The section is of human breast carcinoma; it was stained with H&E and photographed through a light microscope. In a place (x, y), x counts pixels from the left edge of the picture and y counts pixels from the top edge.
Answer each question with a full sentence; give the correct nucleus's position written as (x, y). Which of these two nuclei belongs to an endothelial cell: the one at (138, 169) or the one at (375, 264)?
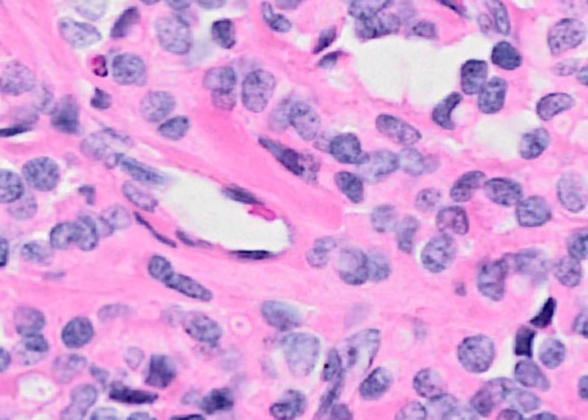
Of the two nuclei present, the one at (138, 169) is within an endothelial cell.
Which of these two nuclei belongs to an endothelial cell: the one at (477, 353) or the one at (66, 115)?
Of the two candidate nuclei, the one at (66, 115) is that of an endothelial cell.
